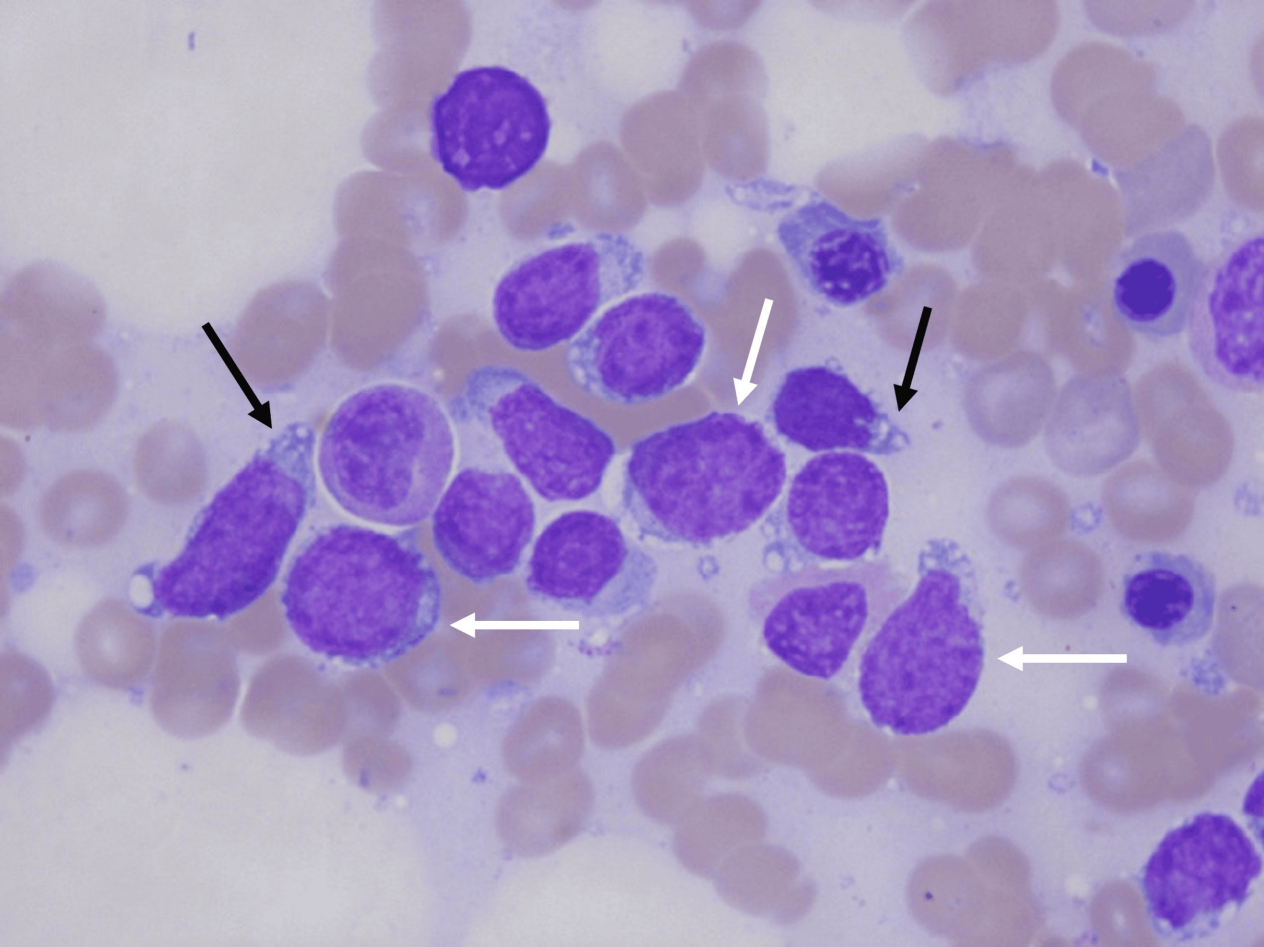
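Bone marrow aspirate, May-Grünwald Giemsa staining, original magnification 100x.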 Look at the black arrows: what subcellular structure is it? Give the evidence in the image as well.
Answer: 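At the tips of the arrows, small pale blue cytoplasmic projections bulge from the cell edge. The projections sit at one pole of cells whose nuclei fill most of the cell. That points to this answer: pseudopodia.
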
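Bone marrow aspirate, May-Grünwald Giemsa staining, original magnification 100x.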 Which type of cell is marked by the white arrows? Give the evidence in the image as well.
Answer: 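The marked cells are large, with a round to oval purple nucleus that fills most of the cell. Only a thin rim of pale blue cytoplasm surrounds each nucleus. The nuclear chromatin is finely granular rather than clumped. The answer: Blast-like cells with a high nucleus/cytoplasm ratio.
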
